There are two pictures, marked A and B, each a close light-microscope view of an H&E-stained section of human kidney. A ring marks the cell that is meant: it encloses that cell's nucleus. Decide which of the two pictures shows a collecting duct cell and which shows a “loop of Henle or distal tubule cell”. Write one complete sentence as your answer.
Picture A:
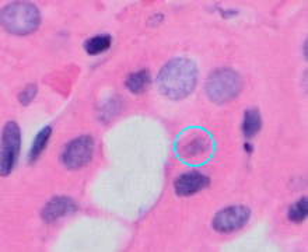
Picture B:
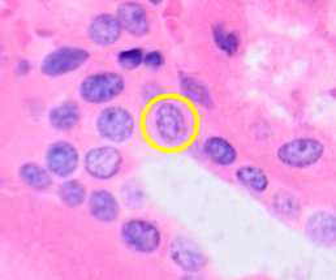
It is picture A that shows a “loop of Henle or distal tubule cell”, and picture B that shows a collecting duct cell.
